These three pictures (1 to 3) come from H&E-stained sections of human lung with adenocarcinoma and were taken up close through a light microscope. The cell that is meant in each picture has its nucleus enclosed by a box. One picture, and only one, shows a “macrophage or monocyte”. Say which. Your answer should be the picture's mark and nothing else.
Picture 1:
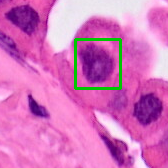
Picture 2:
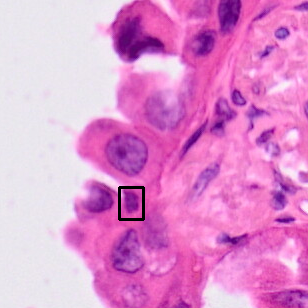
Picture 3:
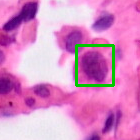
3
